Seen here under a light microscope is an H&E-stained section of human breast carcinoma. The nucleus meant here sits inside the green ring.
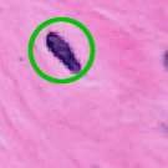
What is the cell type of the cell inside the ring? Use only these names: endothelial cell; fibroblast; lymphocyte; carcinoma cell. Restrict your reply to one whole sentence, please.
Right, so the cell inside the ring is a lymphocyte, to answer that.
